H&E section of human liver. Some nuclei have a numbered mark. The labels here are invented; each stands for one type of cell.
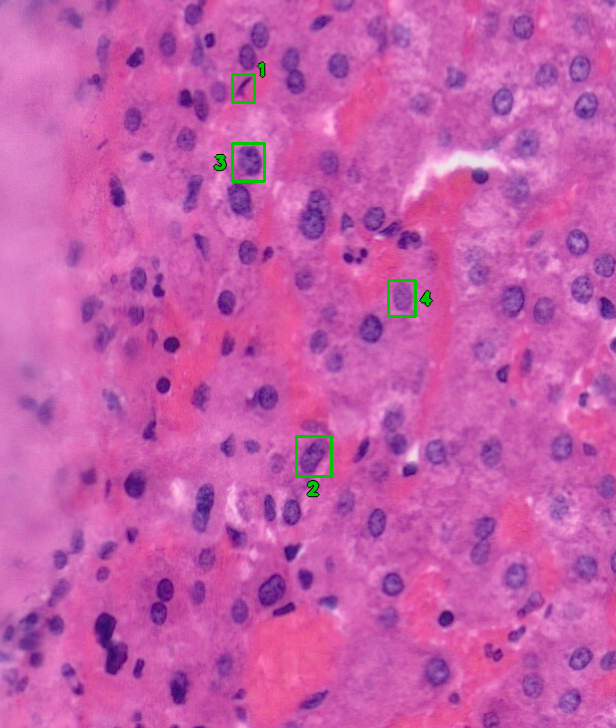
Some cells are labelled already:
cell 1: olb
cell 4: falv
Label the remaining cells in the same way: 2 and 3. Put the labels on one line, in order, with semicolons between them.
falv; falv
